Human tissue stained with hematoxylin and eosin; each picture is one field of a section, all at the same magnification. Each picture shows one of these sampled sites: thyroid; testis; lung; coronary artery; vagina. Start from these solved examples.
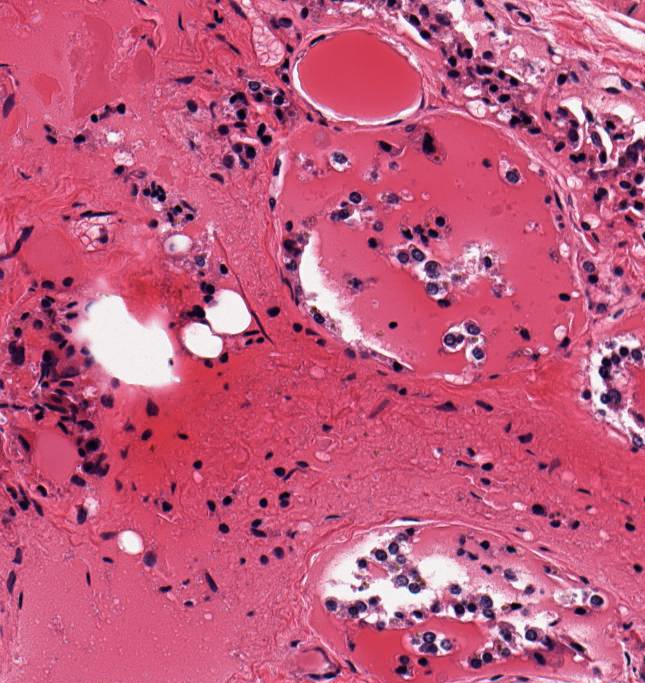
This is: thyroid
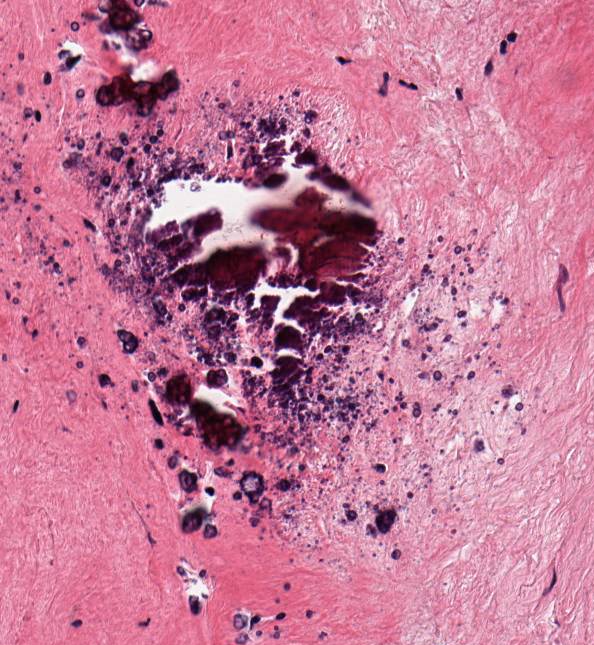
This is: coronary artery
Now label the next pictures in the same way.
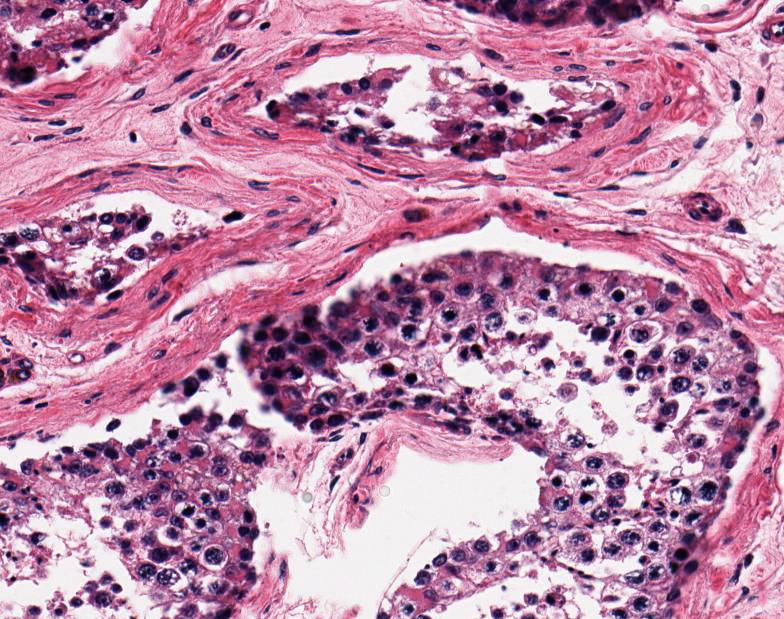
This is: testis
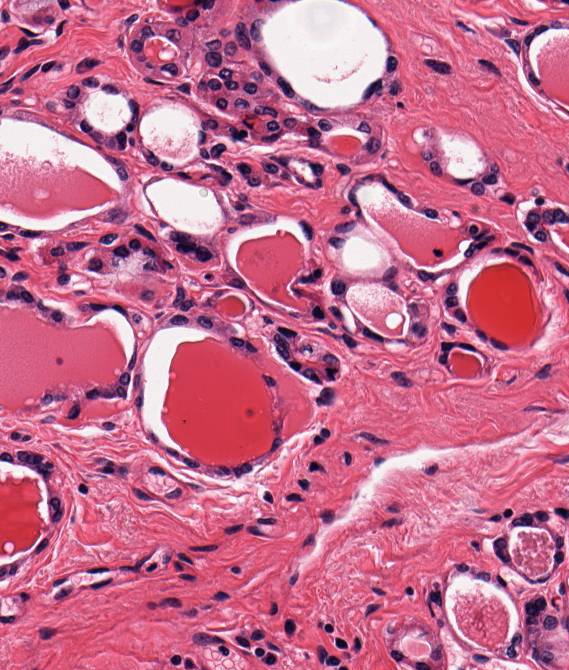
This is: thyroid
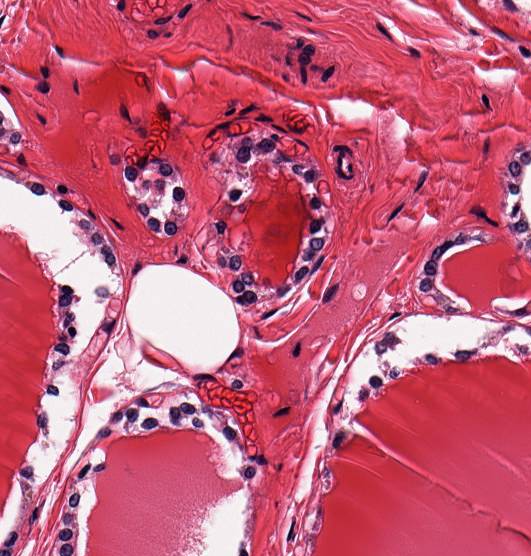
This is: thyroid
